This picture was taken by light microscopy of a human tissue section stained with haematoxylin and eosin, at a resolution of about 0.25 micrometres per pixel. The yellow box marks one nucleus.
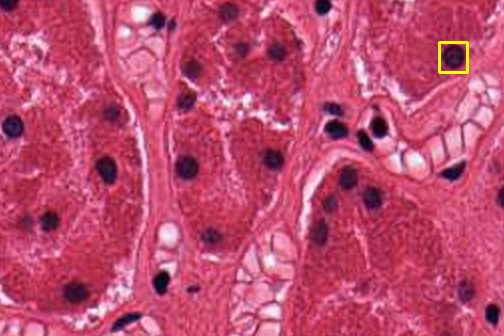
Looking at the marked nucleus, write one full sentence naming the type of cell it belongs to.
The nucleus picked out by the mark is that of a proximal tubule cell.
